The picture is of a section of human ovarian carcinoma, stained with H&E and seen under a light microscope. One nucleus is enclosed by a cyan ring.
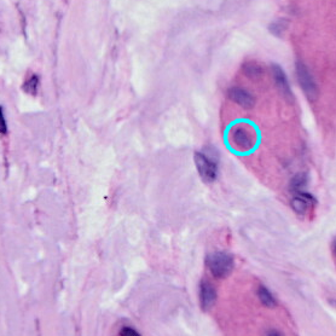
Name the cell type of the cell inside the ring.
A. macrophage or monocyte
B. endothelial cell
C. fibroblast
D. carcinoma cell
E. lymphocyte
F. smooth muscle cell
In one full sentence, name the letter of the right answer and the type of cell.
On this slide, the cell inside the ring is a smooth muscle cell, so option F is right.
